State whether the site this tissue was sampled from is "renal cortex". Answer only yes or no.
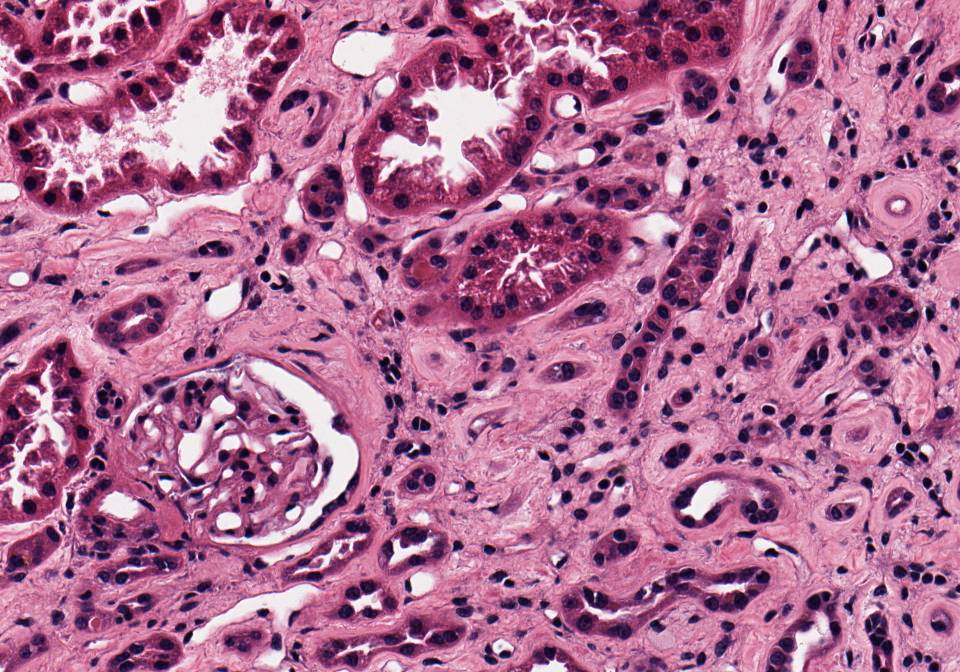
yes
